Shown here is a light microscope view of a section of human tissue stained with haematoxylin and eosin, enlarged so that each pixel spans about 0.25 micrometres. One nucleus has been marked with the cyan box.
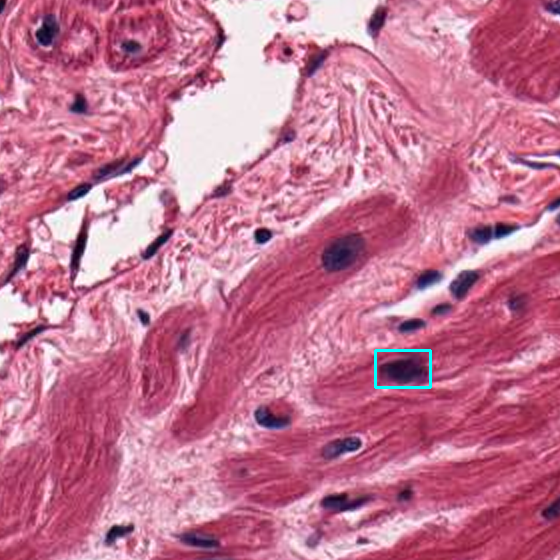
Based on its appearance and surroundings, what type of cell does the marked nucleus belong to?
cardiomyocyte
